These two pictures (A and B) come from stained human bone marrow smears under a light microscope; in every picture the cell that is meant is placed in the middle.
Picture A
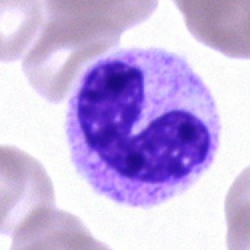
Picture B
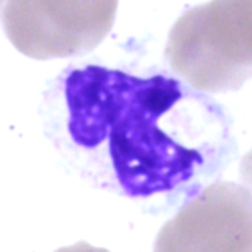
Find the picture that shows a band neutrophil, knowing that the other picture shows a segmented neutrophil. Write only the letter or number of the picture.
A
